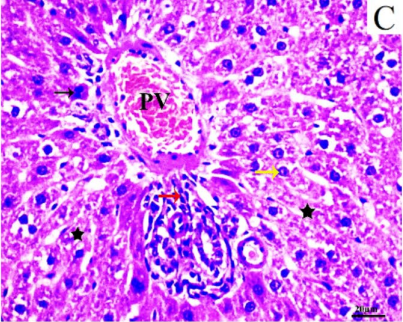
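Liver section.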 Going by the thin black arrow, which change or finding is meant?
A: pyknosis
